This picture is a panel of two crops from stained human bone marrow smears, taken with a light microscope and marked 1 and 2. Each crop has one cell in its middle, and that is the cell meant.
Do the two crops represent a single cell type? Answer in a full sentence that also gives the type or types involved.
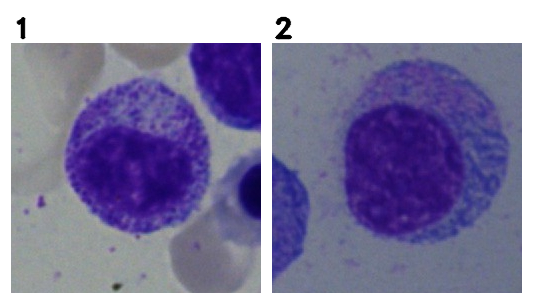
Yes, the cells under consideration in both crops are myelocytes.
